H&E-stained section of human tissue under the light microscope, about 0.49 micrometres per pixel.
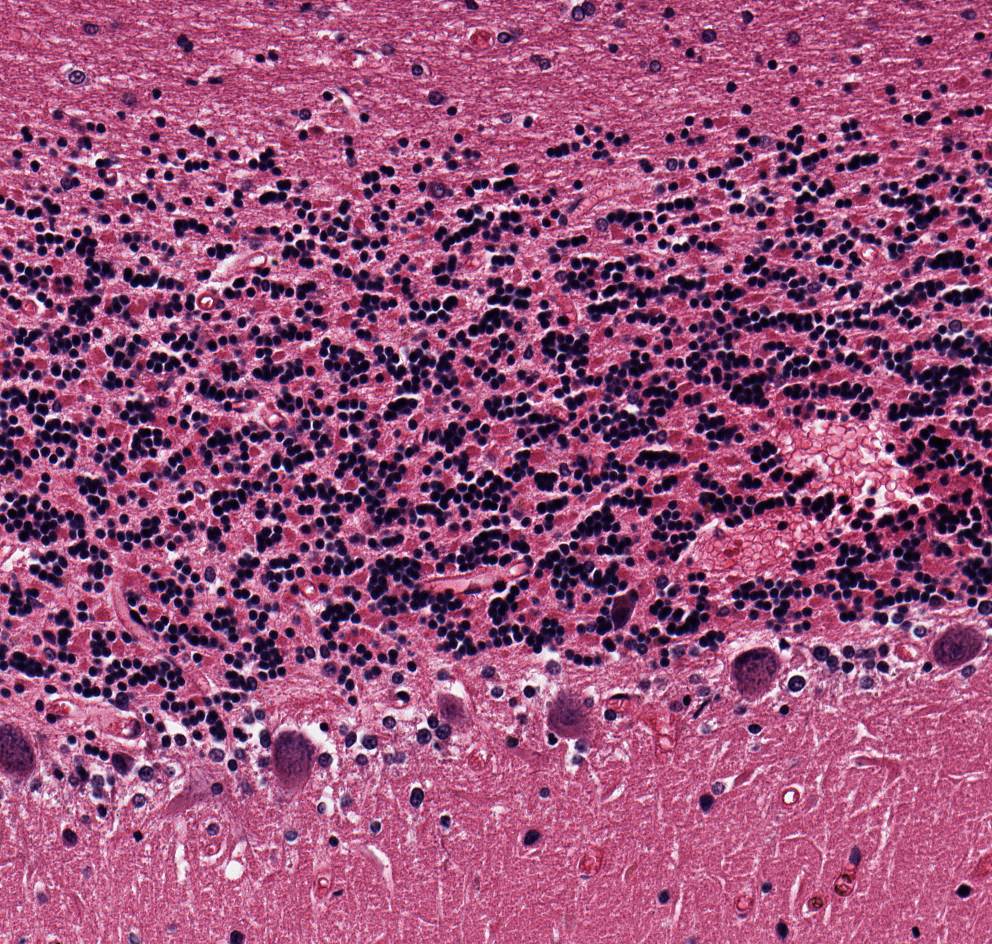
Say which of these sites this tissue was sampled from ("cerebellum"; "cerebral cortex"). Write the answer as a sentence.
The site this tissue was sampled from is the cerebellum.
